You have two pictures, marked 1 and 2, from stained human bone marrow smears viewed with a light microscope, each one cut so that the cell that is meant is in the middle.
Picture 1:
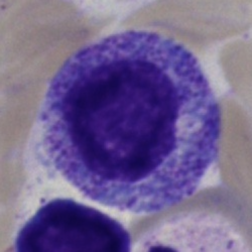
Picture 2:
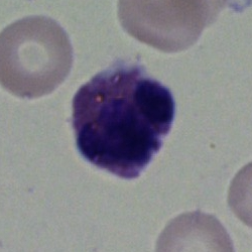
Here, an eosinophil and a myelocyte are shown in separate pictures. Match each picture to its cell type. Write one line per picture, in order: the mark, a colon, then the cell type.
1: myelocyte
2: eosinophil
